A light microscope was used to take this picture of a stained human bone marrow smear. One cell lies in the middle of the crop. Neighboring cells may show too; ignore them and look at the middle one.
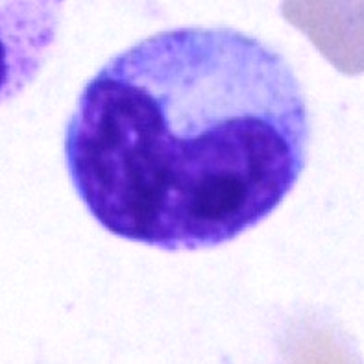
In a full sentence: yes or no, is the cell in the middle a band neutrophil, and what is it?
Yes, in the middle of the crop is a band neutrophil.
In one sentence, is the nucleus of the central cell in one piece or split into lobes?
One compact mass makes up the whole nucleus, round, oval or kidney-shaped.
